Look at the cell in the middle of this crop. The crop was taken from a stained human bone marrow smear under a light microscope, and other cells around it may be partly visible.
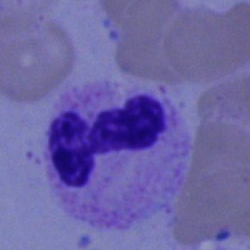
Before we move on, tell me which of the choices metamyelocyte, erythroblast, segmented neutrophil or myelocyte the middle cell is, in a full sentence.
The cell marked by its central position in the crop is a segmented neutrophil.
